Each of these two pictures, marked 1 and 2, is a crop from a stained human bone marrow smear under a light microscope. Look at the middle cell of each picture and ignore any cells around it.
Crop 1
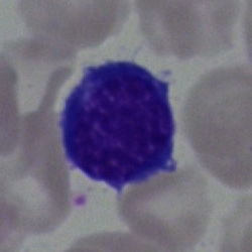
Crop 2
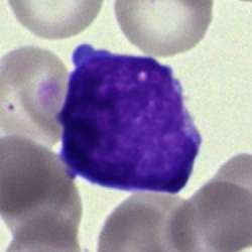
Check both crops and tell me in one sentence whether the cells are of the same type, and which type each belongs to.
No, crop 1 features a lymphocyte, while crop 2 features a blast.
